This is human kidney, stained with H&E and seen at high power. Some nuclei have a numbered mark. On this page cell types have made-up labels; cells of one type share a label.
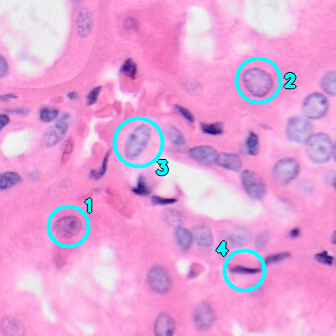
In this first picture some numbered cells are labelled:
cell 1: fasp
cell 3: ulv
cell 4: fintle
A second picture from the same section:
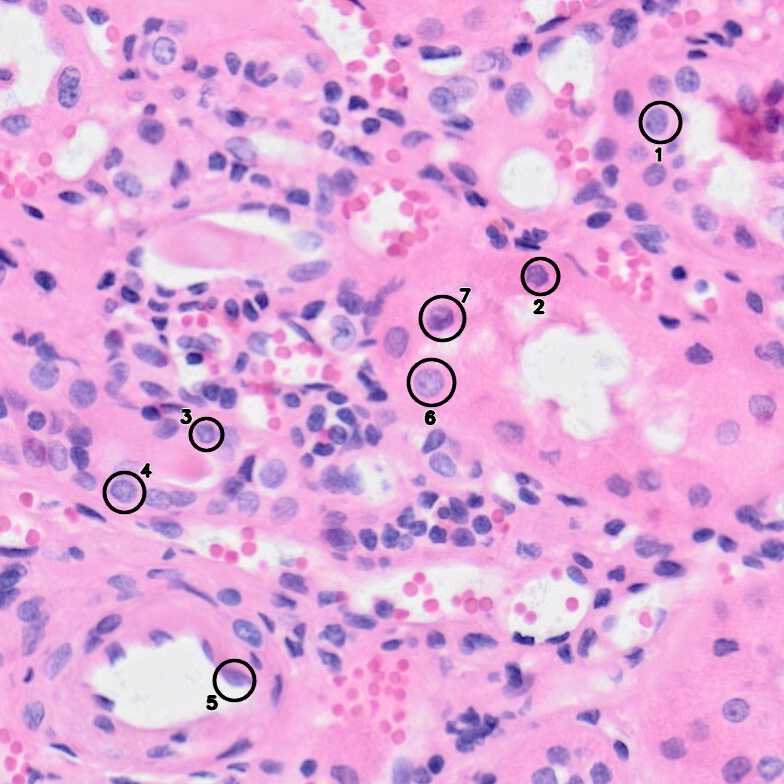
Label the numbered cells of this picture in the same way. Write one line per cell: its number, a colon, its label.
1: ulv
2: fasp
3: ulv
4: ulv
5: fintle
6: fasp
7: fasp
